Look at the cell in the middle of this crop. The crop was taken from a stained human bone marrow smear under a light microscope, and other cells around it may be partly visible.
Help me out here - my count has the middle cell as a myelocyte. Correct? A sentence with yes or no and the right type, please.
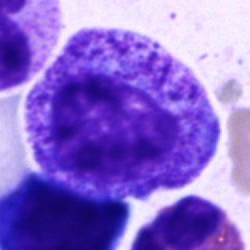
No, rather than being a myelocyte, the central cell is a promyelocyte.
